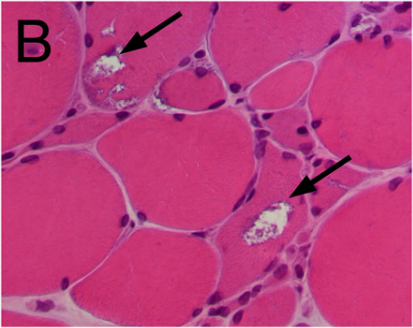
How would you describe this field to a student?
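This cross-section of skeletal muscle shows large polygonal pink muscle fibres separated by thin pale strands of connective tissue. Dark-purple, elongated nuclei lie at the borders of the fibres. Within two fibres there are clear vacuoles containing and rimmed by granular bluish-purple material. The rest of the fibre cytoplasm is evenly pink.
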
